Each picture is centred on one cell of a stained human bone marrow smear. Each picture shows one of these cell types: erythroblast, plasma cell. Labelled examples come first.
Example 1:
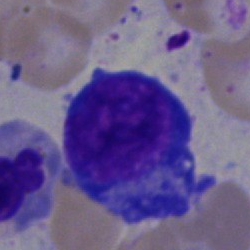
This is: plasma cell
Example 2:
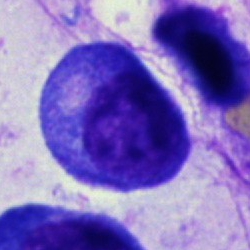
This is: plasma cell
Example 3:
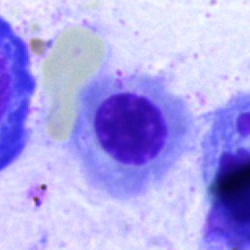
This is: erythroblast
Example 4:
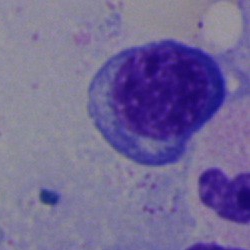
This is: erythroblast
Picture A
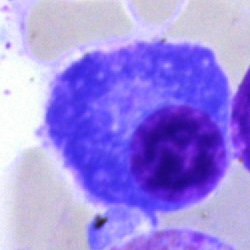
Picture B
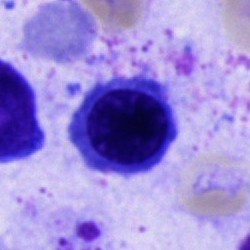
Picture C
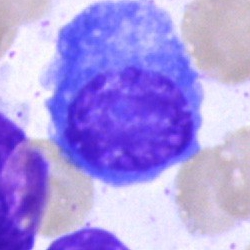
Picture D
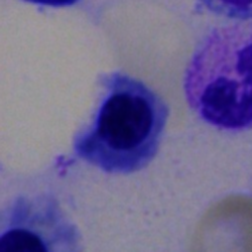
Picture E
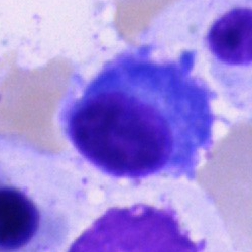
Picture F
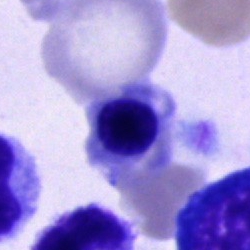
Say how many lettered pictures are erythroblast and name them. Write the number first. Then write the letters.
3, namely B, D, F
